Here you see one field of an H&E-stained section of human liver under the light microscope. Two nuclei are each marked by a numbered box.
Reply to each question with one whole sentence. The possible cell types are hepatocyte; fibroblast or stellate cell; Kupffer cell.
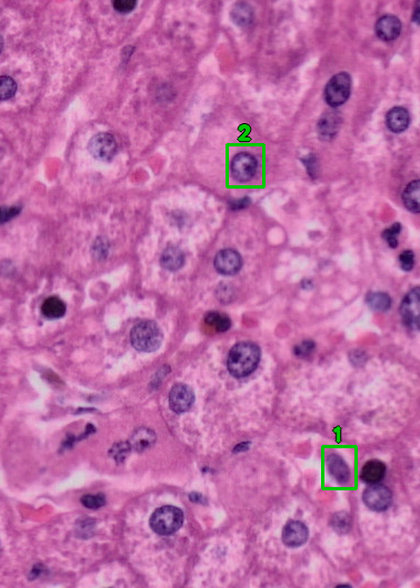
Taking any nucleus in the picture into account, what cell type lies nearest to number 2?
The cell nearest to number 2 is a fibroblast or stellate cell.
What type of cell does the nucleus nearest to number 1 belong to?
The cell nearest to number 1 is a hepatocyte.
